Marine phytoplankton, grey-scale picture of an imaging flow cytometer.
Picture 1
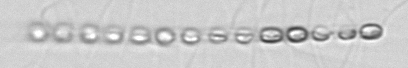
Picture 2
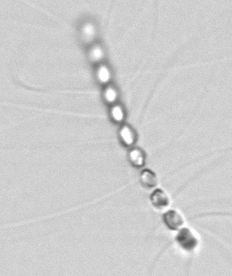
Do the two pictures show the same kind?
Yes, both are Chaetoceros.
